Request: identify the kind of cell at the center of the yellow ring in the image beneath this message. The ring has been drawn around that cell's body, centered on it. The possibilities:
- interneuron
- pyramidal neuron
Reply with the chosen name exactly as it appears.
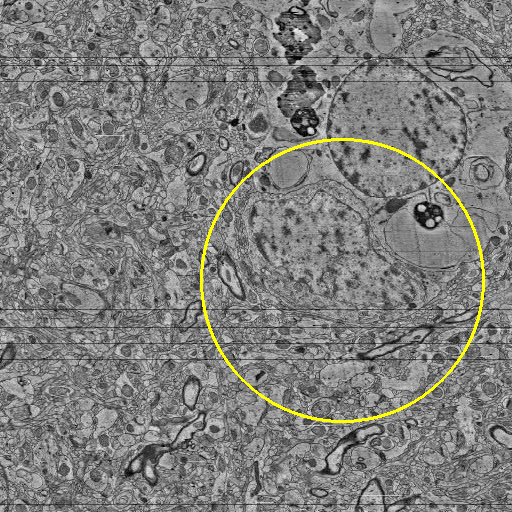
interneuron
